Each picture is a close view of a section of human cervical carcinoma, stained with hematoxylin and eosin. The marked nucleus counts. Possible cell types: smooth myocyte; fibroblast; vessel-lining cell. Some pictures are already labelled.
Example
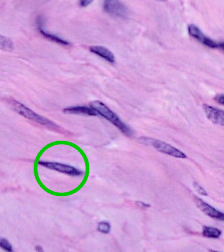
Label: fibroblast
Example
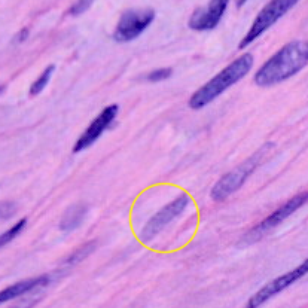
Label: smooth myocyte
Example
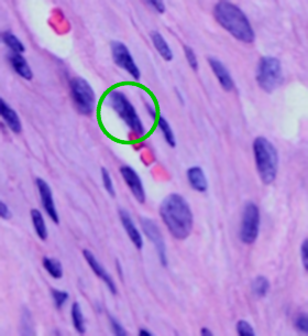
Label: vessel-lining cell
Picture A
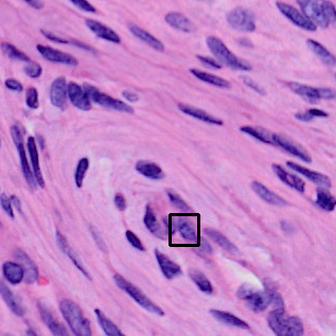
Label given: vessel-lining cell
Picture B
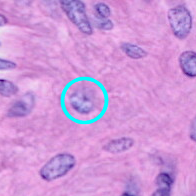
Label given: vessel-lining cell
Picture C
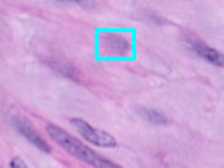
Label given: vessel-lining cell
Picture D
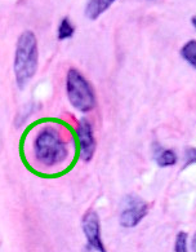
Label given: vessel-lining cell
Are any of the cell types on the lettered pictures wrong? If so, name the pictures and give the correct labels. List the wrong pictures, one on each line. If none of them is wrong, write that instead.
Wrong: B (vessel-lining cell); correct: smooth myocyte
Wrong: C (vessel-lining cell); correct: smooth myocyte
